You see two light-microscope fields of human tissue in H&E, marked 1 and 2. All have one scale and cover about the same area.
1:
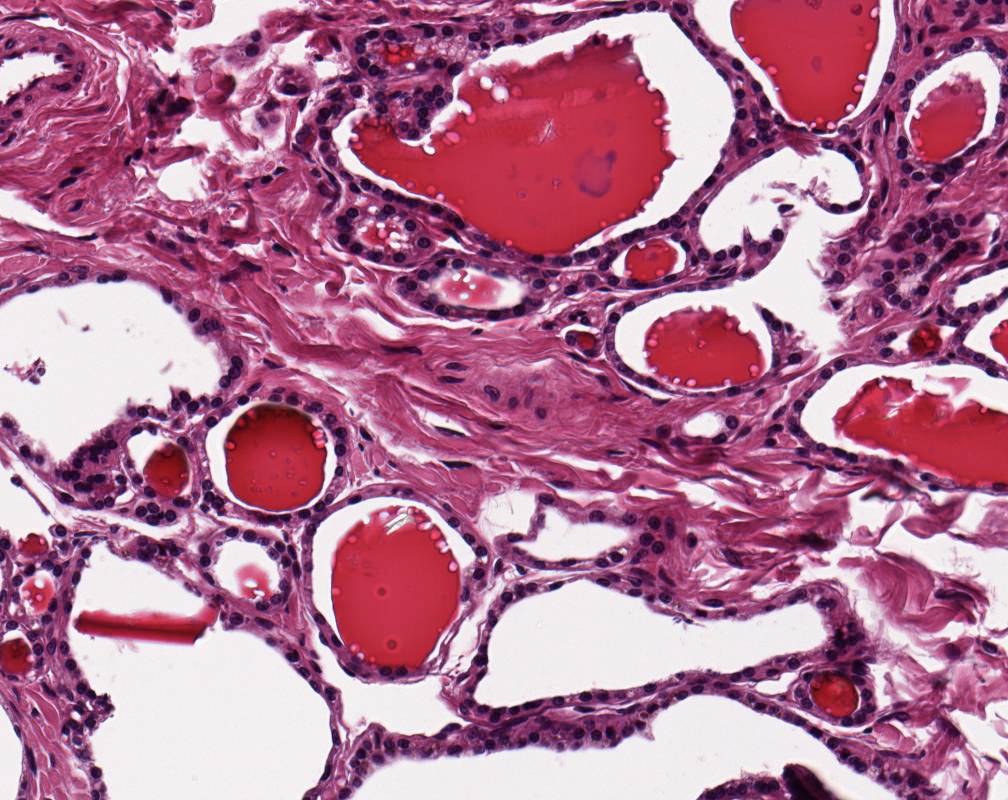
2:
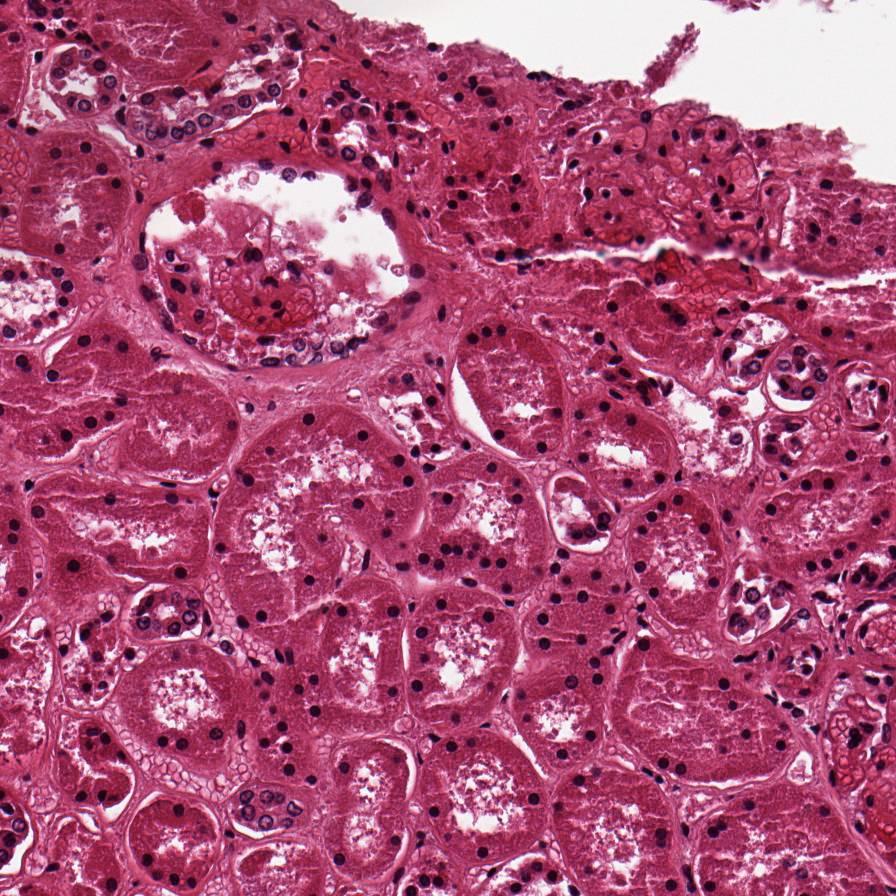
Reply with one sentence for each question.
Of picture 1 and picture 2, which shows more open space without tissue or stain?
Unstained space takes up more of picture 1 than of picture 2.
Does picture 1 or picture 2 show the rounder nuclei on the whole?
It is picture 2 whose nuclei are the rounder.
